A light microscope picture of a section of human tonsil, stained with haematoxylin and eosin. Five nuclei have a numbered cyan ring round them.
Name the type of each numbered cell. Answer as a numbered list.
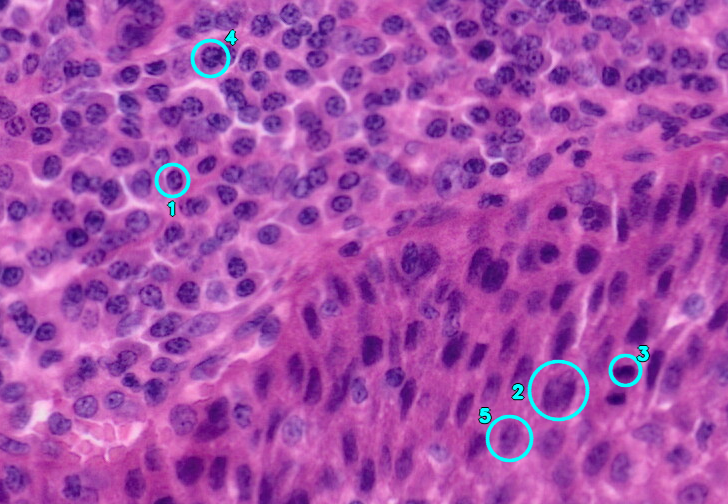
1. plasma cell
2. squamous epithelial cell
3. squamous epithelial cell
4. plasma cell
5. squamous epithelial cell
